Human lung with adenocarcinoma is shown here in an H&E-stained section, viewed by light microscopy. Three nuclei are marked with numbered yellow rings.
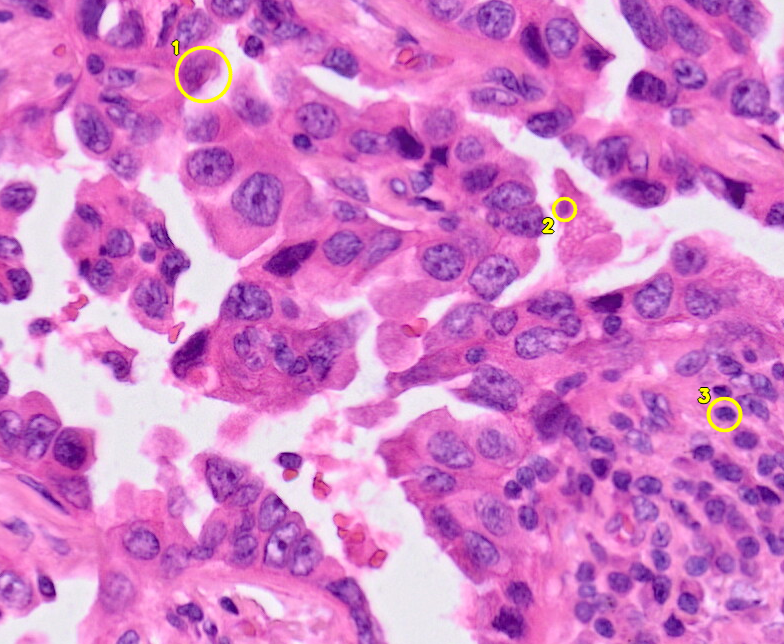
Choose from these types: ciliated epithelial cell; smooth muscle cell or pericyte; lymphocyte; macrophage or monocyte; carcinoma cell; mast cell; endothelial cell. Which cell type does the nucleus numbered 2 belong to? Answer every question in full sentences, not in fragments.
Cell 2 is classified as a carcinoma cell.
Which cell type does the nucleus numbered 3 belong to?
The cell to which the number 3 is assigned is a lymphocyte.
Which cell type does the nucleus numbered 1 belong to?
Numbered cell 1 is a carcinoma cell in this tissue section.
